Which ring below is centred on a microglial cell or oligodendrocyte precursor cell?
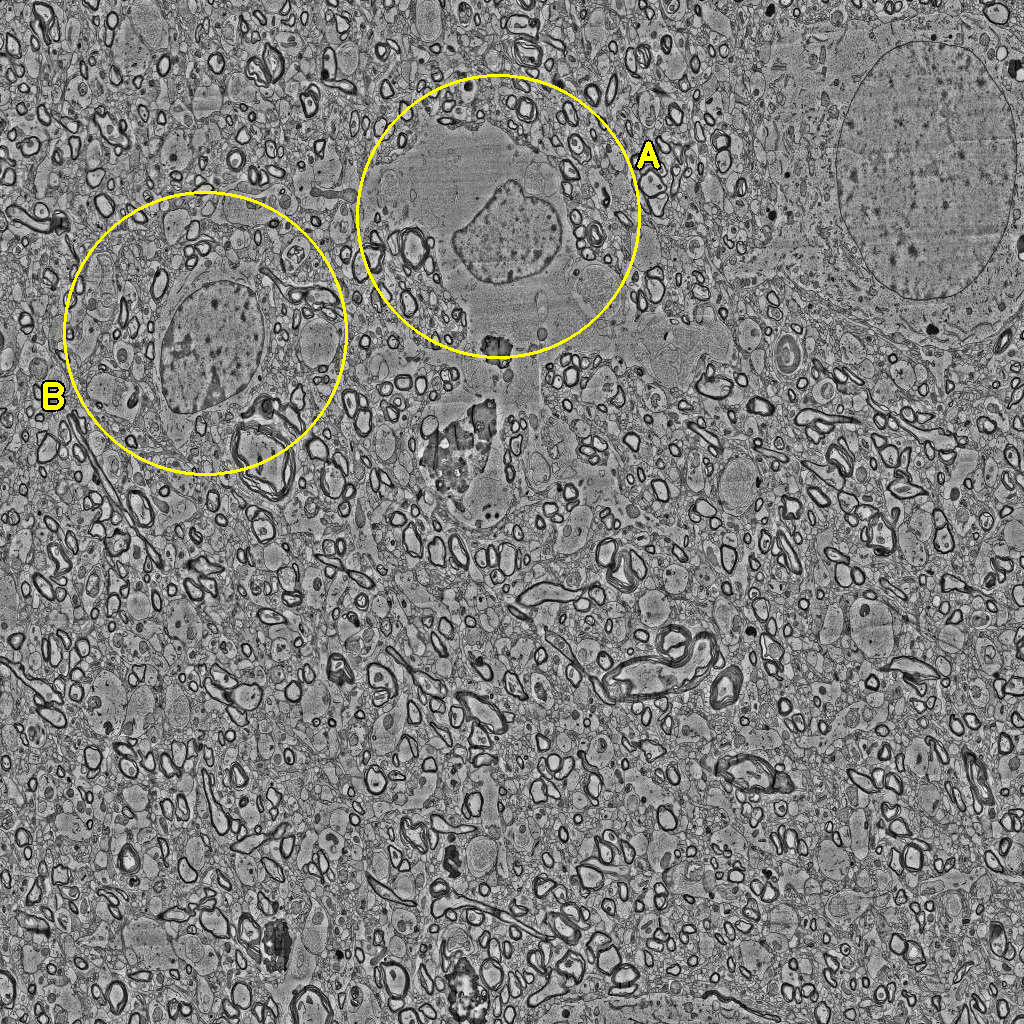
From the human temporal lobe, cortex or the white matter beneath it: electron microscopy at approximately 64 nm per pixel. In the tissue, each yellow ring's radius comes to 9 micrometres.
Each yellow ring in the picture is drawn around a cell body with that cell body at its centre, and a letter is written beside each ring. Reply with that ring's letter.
B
